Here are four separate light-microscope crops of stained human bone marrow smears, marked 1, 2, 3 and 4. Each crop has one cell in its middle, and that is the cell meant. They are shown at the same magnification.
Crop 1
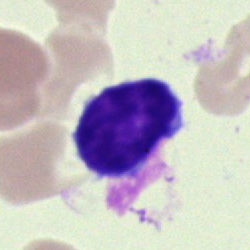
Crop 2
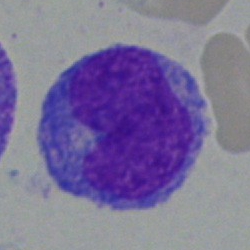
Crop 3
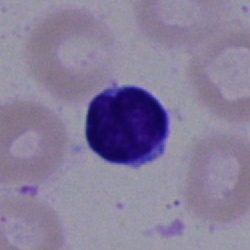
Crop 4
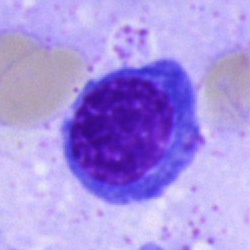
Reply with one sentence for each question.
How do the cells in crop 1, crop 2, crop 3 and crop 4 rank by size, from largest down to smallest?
The order is 2, 4, 1, 3, beginning with the largest.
